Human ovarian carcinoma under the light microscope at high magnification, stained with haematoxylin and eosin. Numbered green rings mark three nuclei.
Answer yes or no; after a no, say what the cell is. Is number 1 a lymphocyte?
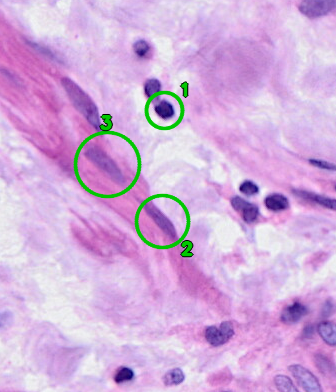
Yes.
